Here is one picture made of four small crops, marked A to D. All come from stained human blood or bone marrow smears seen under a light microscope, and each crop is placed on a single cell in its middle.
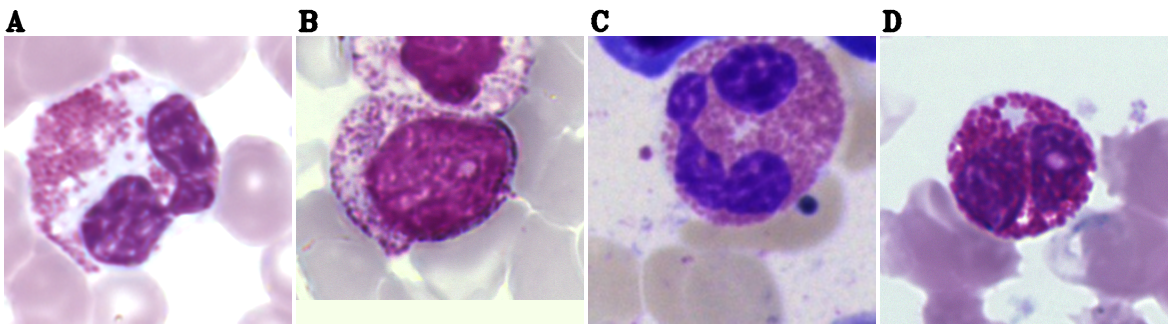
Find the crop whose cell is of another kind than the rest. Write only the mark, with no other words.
B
